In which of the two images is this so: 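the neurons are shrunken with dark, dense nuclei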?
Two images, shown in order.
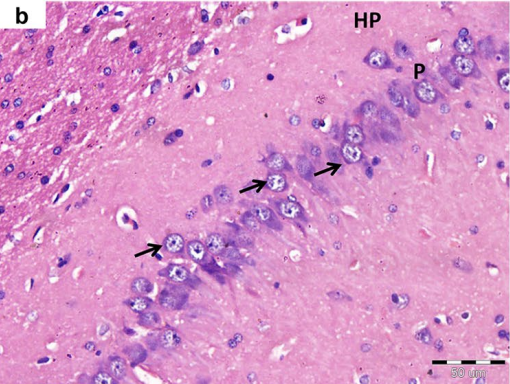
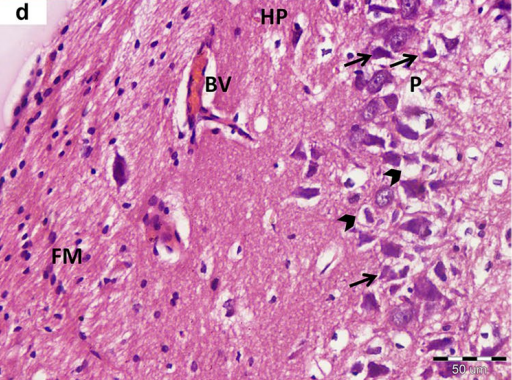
The second image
